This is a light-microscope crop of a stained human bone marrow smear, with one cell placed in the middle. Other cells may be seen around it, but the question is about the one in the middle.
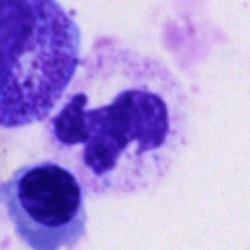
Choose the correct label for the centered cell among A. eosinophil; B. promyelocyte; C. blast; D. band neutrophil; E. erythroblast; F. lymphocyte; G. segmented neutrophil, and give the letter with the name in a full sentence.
The cell in the centre of the crop is a segmented neutrophil, so option G is the correct one.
